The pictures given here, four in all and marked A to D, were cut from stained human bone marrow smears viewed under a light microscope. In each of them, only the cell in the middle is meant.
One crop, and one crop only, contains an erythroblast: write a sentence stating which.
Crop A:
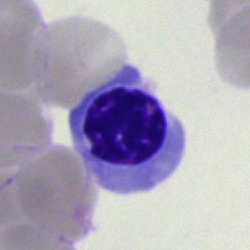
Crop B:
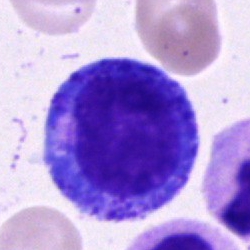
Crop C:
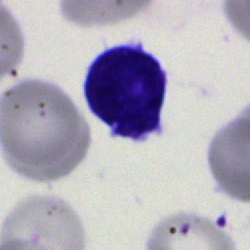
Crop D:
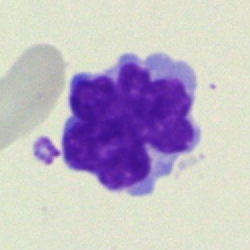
Only in crop A is an erythroblast shown.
